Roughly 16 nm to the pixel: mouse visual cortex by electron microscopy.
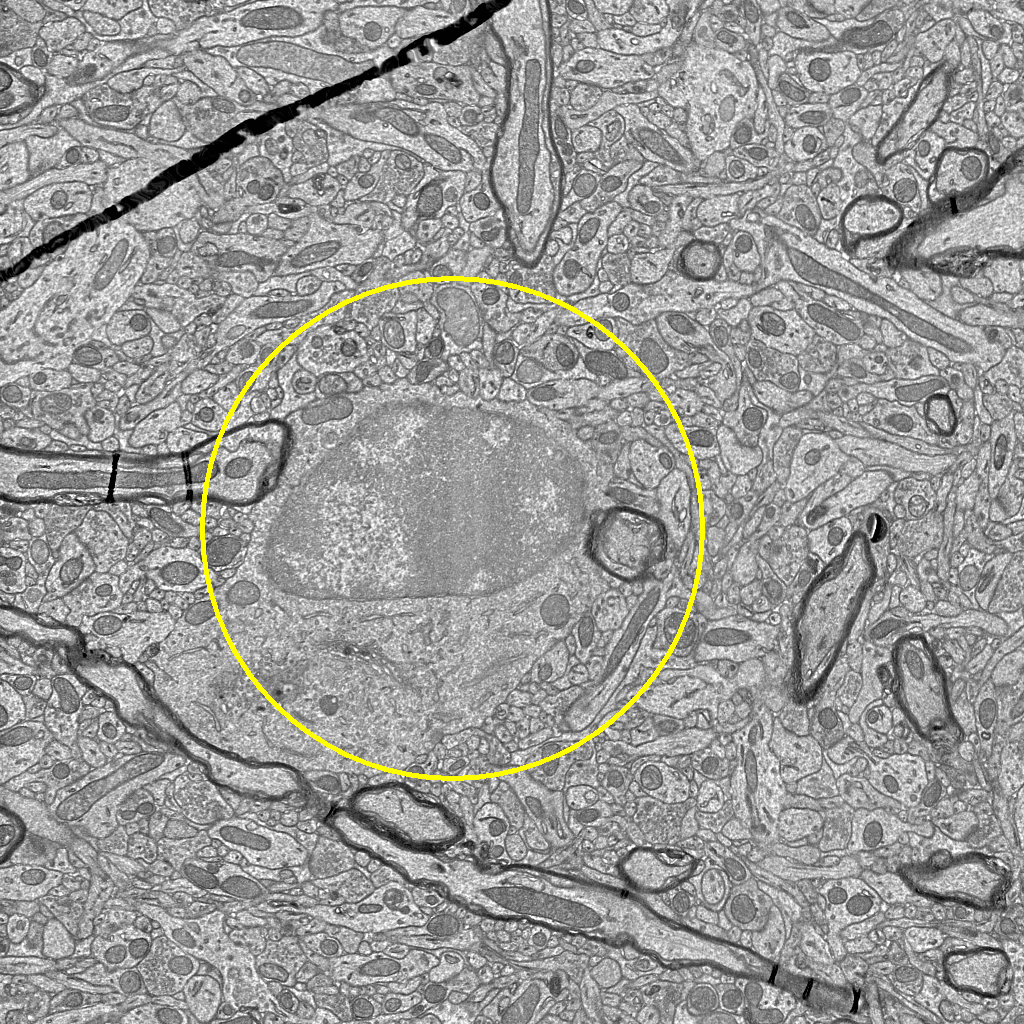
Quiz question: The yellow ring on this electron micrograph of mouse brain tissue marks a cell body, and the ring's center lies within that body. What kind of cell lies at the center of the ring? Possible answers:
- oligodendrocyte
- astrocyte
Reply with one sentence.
The ring's center lies on an oligodendrocyte.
